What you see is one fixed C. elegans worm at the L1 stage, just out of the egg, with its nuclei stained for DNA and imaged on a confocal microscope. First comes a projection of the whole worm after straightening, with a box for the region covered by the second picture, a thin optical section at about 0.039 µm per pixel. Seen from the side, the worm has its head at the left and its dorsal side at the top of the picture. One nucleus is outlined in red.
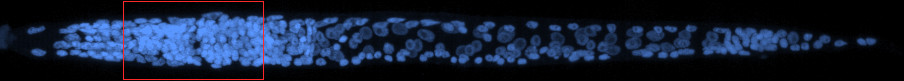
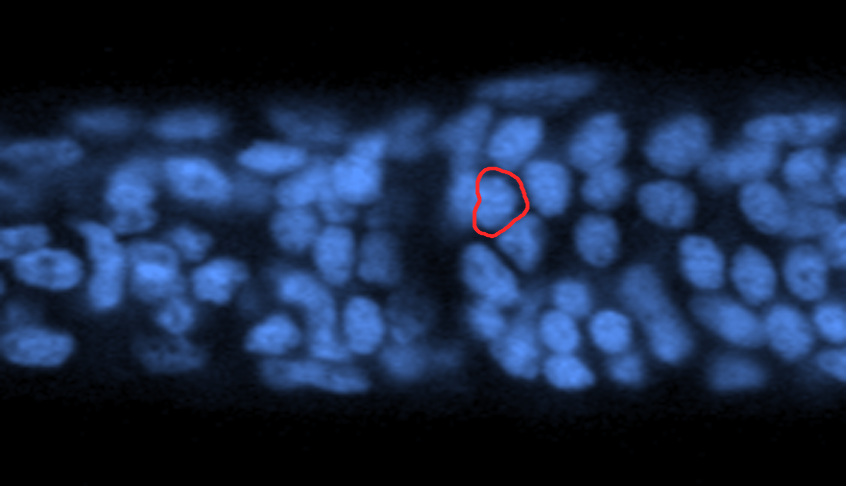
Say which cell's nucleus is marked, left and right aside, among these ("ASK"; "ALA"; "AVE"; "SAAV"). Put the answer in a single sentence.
It is the nucleus of SAAV, a neuron.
